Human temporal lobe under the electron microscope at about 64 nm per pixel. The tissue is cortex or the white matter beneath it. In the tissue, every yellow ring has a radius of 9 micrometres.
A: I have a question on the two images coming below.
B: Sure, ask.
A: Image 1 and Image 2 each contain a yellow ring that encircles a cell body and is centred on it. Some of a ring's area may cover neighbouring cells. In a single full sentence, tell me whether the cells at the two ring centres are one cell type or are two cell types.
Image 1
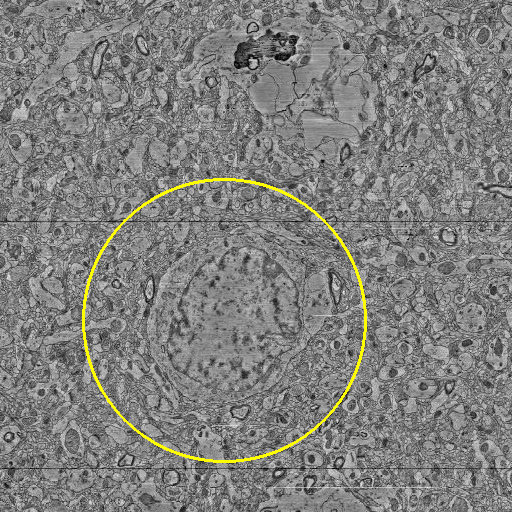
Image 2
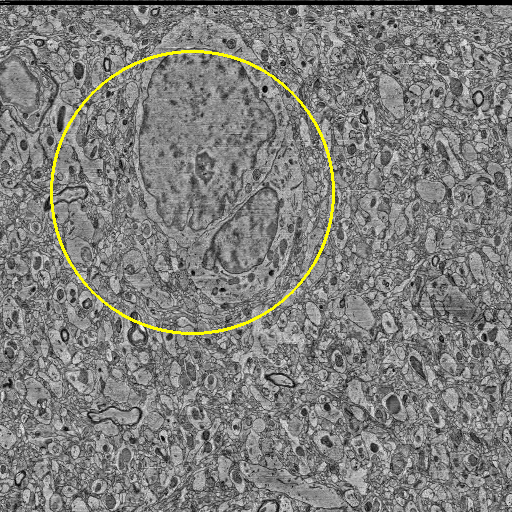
As for the ring-centre cells, the one in Image 1 and the one in Image 2 are one cell type.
